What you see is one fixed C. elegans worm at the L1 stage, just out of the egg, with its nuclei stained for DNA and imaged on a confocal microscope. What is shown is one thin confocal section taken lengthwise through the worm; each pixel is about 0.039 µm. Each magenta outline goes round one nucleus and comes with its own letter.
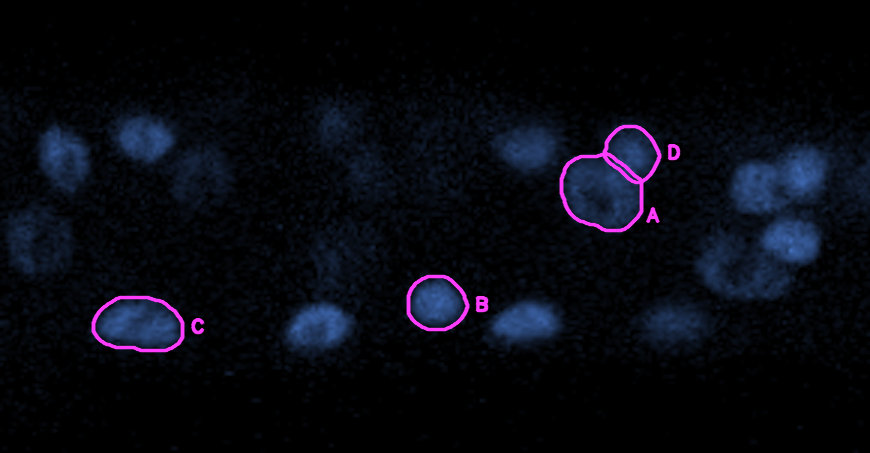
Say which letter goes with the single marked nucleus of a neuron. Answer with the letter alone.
B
